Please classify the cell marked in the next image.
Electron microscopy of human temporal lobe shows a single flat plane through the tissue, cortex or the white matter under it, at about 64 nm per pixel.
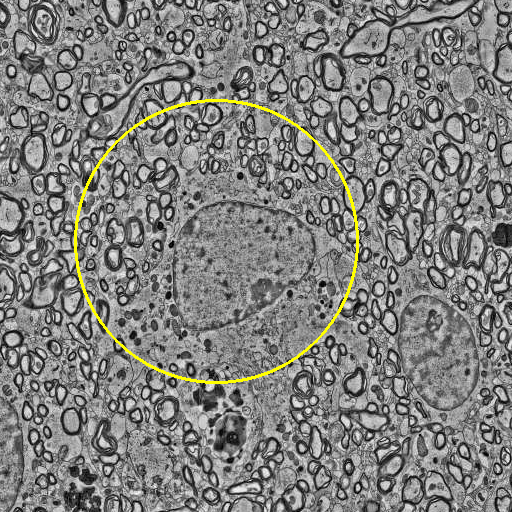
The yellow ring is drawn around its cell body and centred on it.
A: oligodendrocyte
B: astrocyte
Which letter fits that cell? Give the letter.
B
